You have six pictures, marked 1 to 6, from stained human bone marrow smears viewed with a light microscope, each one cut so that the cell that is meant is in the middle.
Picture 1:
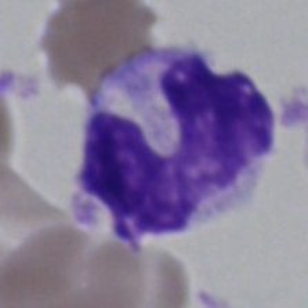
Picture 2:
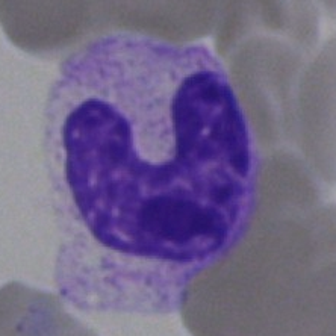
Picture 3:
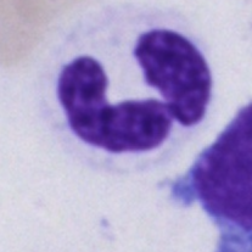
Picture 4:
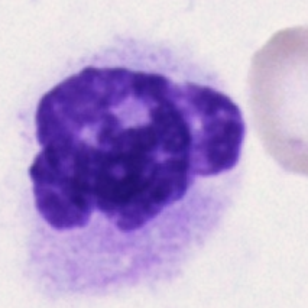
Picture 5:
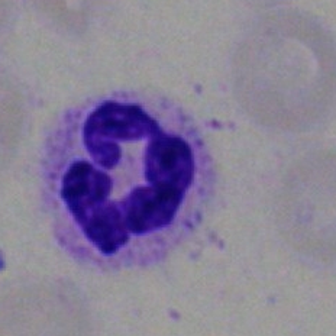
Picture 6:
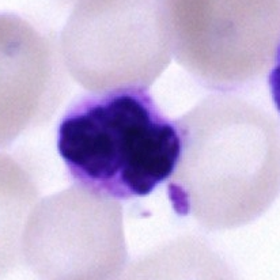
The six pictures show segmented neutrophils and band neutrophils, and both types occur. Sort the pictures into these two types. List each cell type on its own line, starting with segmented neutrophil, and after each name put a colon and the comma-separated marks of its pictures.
segmented neutrophil: 3, 4, 5, 6
band neutrophil: 1, 2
